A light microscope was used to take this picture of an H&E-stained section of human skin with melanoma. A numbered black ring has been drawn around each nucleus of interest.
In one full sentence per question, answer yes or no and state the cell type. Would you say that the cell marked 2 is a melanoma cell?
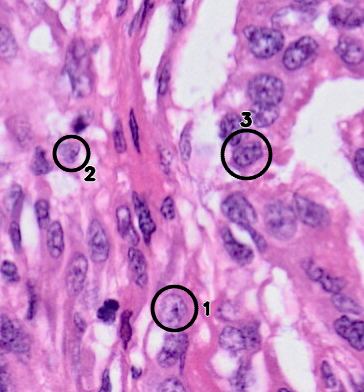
No, the cell marked 2 is a macrophage or monocyte rather than a melanoma cell.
